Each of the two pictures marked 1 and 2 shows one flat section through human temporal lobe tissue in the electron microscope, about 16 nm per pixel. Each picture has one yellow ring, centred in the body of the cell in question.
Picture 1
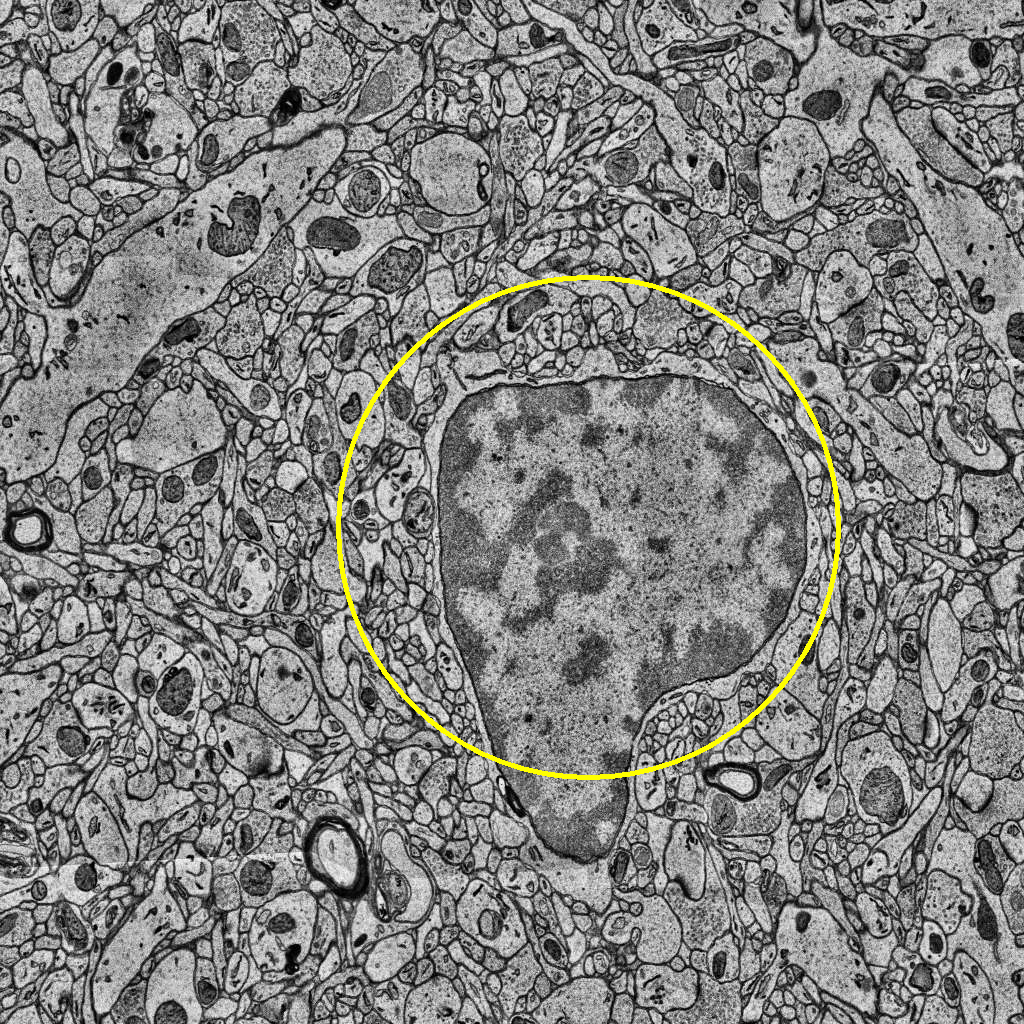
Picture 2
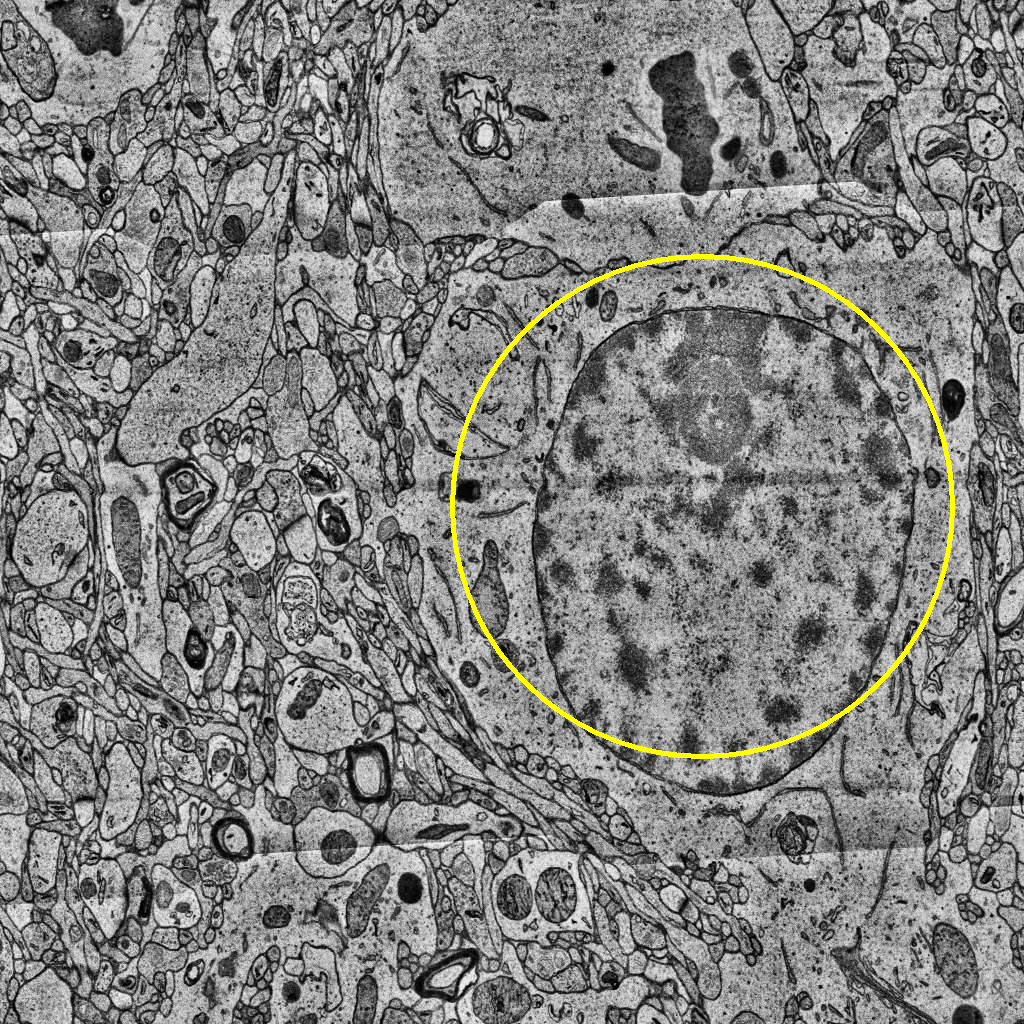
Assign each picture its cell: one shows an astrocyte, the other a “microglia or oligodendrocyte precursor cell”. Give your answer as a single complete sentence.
It is picture 1 that shows a “microglia or oligodendrocyte precursor cell”, and picture 2 that shows an astrocyte.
